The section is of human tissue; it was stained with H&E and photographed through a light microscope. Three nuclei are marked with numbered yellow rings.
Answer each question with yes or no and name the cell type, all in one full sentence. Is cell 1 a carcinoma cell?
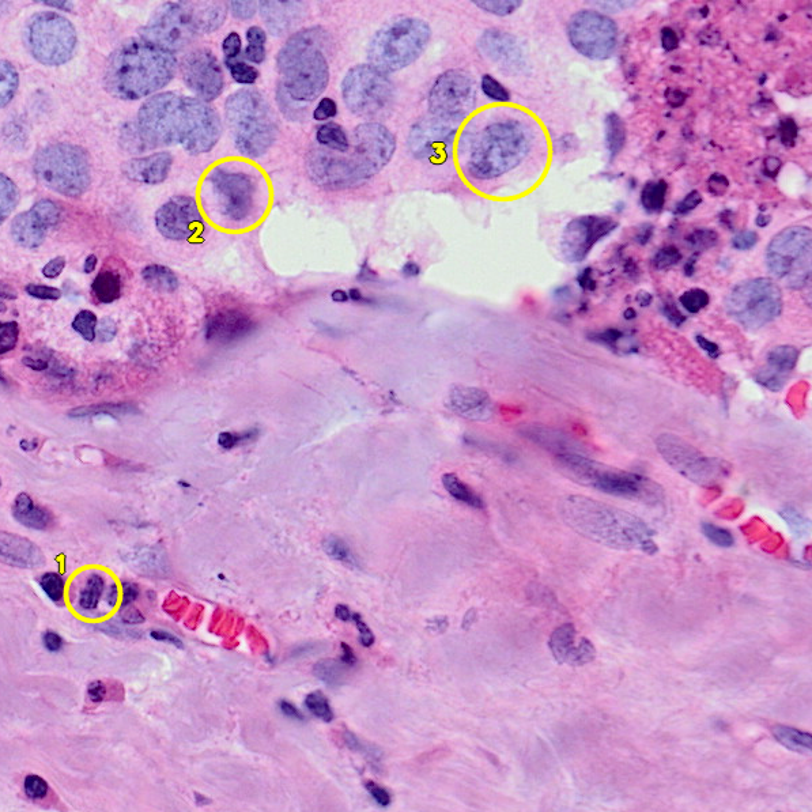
No, cell number 1 is a lymphocyte; it is not a carcinoma cell.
